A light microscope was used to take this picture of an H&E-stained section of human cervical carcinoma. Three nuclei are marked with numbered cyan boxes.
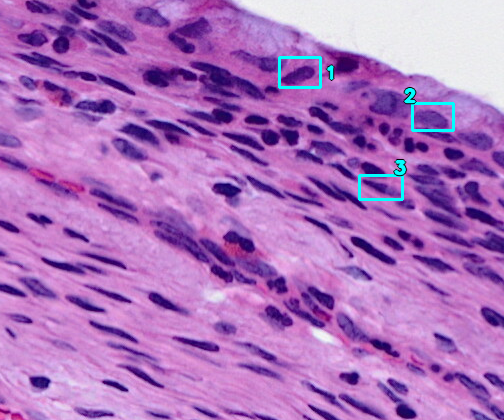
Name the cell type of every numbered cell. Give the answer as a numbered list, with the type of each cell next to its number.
1. secretory epithelial cell
2. secretory epithelial cell
3. endothelial cell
